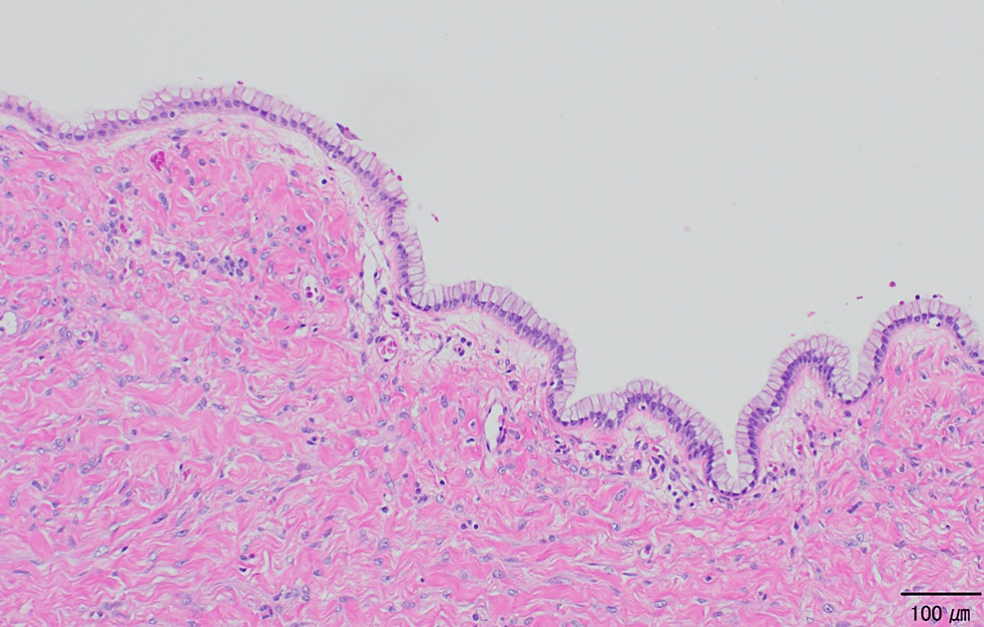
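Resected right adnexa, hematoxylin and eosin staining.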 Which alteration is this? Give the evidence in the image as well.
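An undulating wall of dense fibrous stroma faces an empty space. The wall is lined by a single layer of mucin-filled columnar cells. The lining nuclei are uniform, with no layering or crowding. So: Mucinous cystadenoma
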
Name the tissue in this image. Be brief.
Simple, non-stratified mucinous epithelium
